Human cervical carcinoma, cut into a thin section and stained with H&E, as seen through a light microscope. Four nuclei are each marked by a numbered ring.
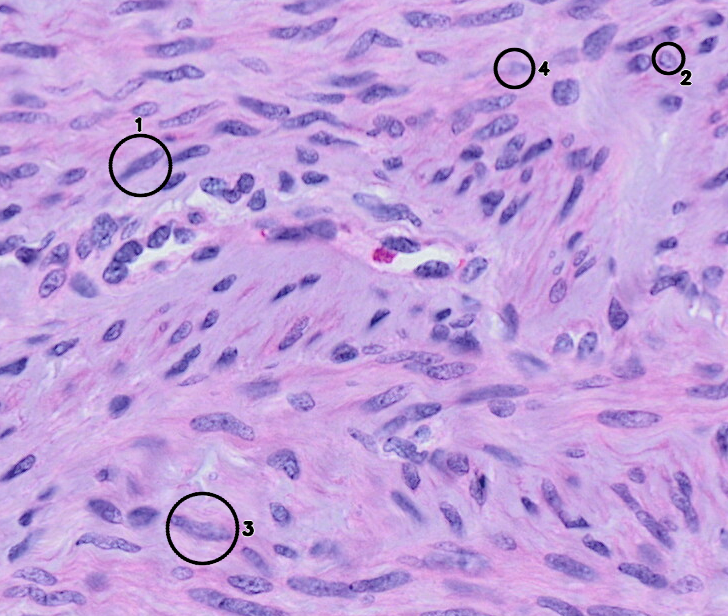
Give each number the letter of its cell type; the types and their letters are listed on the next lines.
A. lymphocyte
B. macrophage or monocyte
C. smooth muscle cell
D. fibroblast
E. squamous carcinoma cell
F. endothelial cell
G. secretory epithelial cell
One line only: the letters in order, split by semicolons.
D; C; C; C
